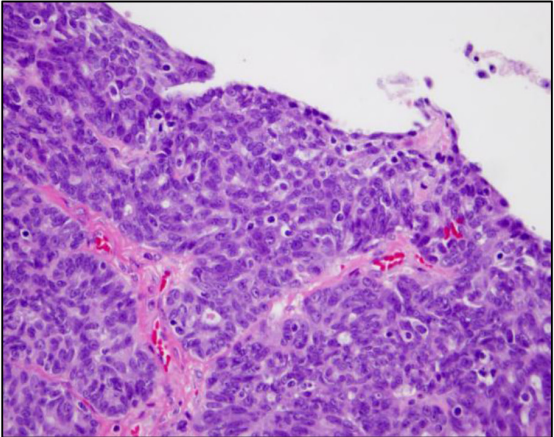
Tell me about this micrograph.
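This is a tumor seen in hematoxylin and eosin, made of solid sheets and nests of crowded epithelial tumor cells with intratumoral lymphocytes among them. The tumor cells have oval, darkly purple nuclei that lie close together, with little pale pink cytoplasm between them. Thin pink bands of connective tissue run between the nests, carrying small vessels filled with bright red blood cells. Here and there small cells surrounded by a clear halo sit within the tumor sheets; these are the lymphocytes that have entered the tumor. The free surface of the tissue lies along the top edge.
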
